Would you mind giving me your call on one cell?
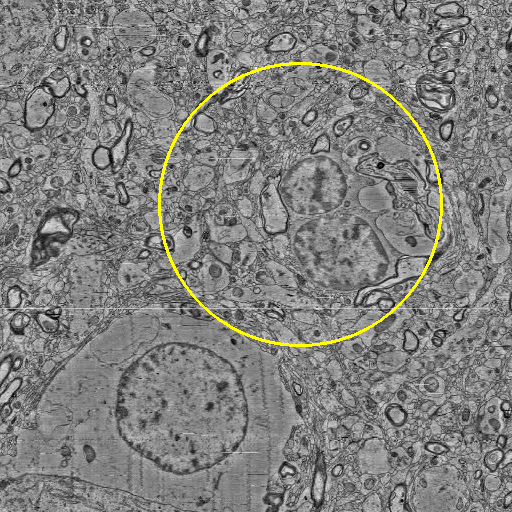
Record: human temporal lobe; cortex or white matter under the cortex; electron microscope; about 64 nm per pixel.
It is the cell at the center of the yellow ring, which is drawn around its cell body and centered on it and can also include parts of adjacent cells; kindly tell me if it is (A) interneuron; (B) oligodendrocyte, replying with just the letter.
B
